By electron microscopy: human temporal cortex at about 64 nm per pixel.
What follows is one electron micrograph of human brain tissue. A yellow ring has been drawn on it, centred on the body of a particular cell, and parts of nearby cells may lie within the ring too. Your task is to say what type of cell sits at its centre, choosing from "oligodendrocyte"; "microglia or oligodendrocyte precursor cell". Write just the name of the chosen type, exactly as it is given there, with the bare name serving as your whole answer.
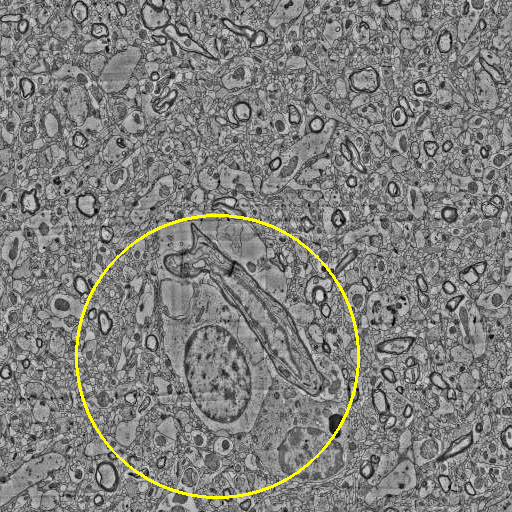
microglia or oligodendrocyte precursor cell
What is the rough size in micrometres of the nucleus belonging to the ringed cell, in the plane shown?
About 6 by 4 micrometres in this plane; clearly longer than it is wide.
